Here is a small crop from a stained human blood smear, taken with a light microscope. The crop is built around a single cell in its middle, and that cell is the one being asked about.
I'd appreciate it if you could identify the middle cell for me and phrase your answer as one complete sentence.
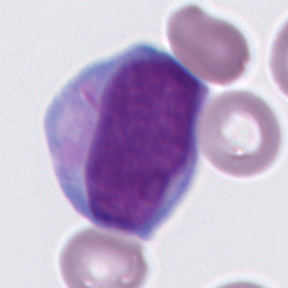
In this crop, the cell at the very middle is an atypical promyelocyte.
